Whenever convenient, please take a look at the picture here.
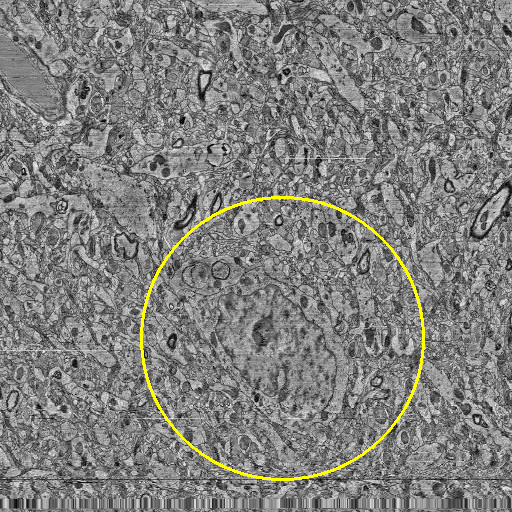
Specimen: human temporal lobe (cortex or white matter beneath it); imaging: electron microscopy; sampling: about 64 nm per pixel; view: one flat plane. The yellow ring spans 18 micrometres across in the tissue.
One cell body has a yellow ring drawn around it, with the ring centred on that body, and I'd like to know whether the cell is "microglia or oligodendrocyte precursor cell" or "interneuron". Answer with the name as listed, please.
interneuron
